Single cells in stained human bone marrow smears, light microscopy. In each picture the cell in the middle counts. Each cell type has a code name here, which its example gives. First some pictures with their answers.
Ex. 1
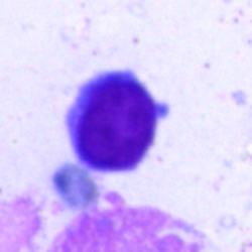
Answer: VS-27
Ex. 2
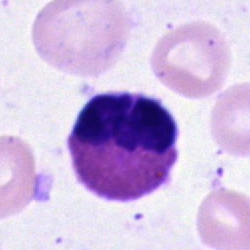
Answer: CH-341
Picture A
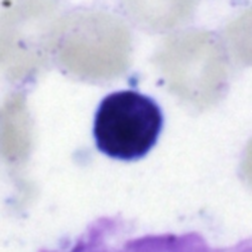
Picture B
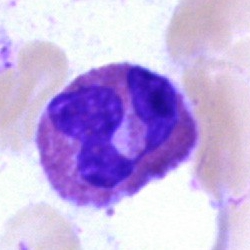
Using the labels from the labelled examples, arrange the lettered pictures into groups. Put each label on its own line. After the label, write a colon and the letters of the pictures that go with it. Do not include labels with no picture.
VS-27: A
CH-341: B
